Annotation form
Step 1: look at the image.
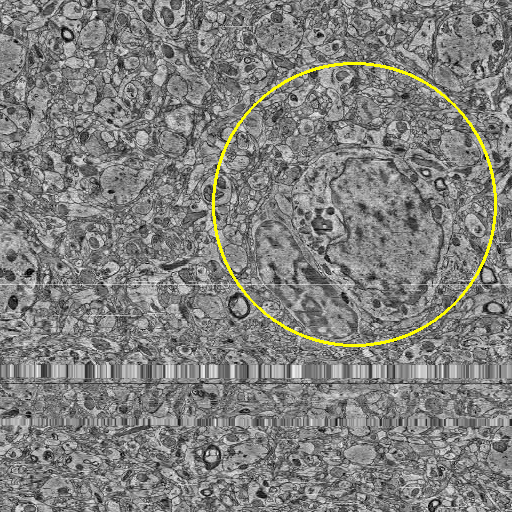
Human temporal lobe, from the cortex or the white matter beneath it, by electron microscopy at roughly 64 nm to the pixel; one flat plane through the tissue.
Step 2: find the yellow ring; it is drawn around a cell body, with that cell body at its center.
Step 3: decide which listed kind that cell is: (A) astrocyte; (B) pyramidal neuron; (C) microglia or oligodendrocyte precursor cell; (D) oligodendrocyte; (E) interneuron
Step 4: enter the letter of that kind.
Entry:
E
